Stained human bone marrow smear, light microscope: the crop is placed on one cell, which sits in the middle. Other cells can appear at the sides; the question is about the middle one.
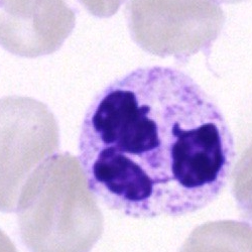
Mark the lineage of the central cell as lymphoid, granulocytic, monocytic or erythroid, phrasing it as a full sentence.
The cell in the middle comes from the granulocytic lineage of blood cells.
